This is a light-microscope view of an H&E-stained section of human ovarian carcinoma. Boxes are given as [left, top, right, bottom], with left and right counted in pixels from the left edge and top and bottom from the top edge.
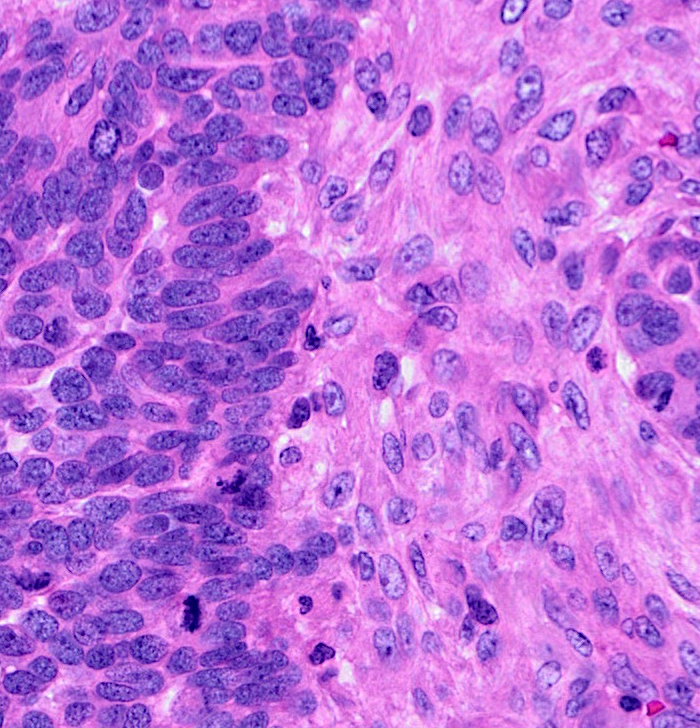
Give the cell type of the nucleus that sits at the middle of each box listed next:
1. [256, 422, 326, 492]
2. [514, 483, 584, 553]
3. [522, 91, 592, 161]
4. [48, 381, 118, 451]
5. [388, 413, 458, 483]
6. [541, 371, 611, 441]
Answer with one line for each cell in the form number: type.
1: macrophage or monocyte
2: fibroblast
3: fibroblast
4: carcinoma cell
5: fibroblast
6: fibroblast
